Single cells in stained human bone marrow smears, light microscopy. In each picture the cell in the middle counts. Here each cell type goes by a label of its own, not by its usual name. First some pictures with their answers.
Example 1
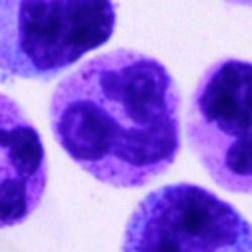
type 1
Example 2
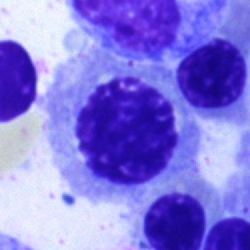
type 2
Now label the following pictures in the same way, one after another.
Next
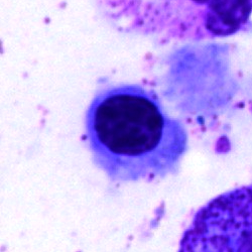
type 2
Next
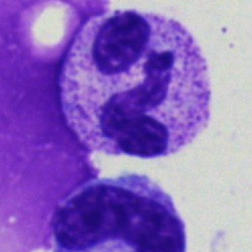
type 1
